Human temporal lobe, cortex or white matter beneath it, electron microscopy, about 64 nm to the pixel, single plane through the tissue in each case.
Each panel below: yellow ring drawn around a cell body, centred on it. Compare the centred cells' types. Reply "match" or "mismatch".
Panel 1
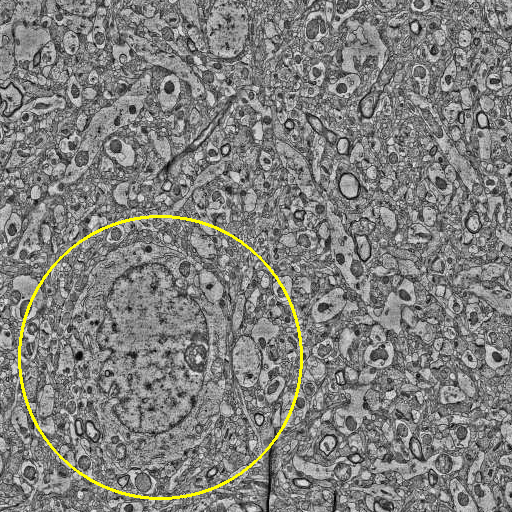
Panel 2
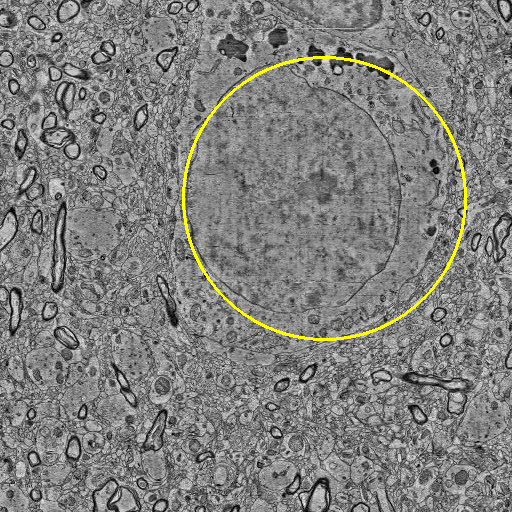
match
